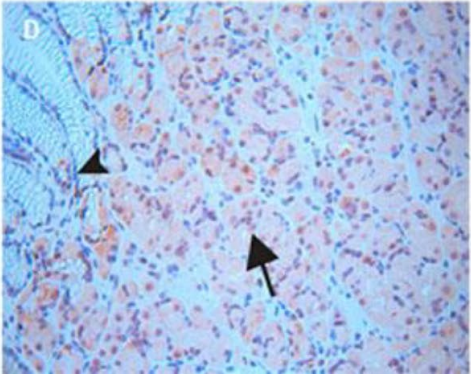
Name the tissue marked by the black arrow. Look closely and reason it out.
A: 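Gastric glands. The arrow points into rounded clusters of glandular cells cut in cross-section. The clusters have pink granular cytoplasm and are separated by thin connective tissue.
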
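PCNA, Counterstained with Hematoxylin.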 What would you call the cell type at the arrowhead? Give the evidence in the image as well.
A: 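The arrowhead points at the tall columnar epithelium at the left edge. These cells have pale, clear apical cytoplasm and basal nuclei. That points to this answer: surface mucous cells.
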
